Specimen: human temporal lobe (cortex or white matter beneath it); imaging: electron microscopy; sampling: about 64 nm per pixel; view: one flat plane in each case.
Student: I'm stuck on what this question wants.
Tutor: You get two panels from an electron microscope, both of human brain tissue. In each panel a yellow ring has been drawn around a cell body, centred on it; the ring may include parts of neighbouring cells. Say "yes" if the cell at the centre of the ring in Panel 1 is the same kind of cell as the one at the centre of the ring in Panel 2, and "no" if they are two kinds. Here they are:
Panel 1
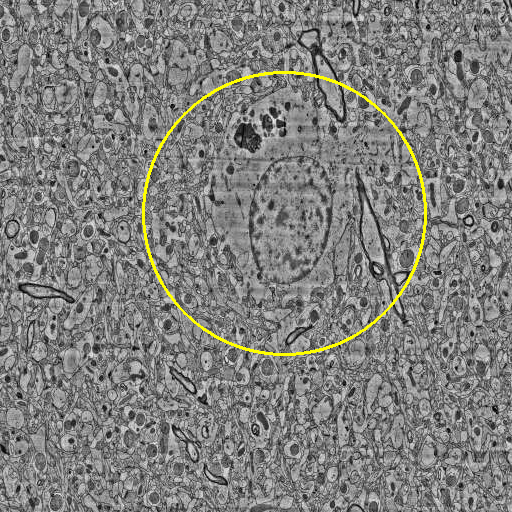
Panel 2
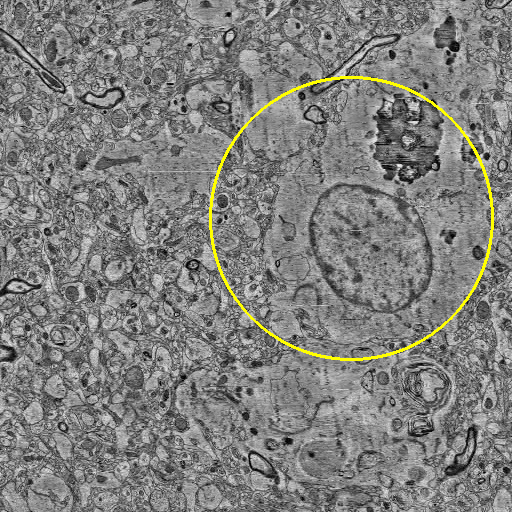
yes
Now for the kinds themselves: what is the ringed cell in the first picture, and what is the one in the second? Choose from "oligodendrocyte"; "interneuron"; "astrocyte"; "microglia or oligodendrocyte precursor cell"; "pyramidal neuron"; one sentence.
Both pictures show an astrocyte at the centre of the ring.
